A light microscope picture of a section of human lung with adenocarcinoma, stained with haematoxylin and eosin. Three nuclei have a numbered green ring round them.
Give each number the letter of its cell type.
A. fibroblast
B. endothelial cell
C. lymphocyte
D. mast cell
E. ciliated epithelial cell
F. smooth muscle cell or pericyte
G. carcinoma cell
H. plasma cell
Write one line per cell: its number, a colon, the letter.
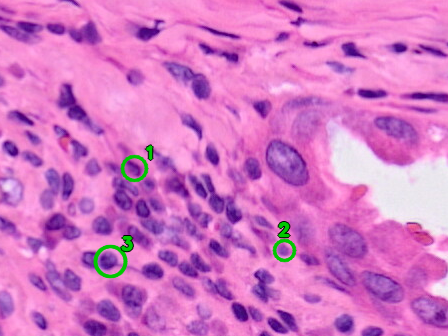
1: H
2: C
3: C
